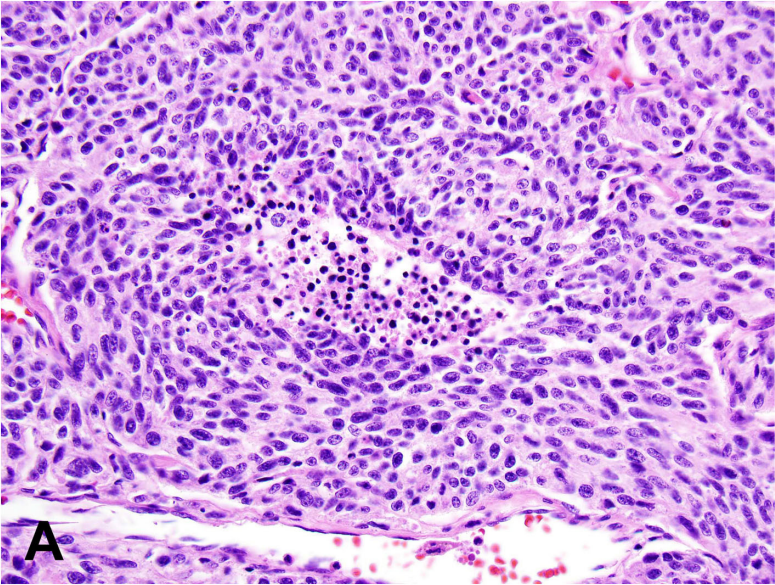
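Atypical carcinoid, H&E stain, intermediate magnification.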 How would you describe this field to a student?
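A solid nest of crowded tumor cells with oval to spindled purple nuclei and pale pink cytoplasm is bordered by thin fibrous septa and vessels. In the middle of the nest lies a small pale focus filled with dark, fragmented nuclear debris. This is a small focus of comedo-type necrosis within the tumor nest.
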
